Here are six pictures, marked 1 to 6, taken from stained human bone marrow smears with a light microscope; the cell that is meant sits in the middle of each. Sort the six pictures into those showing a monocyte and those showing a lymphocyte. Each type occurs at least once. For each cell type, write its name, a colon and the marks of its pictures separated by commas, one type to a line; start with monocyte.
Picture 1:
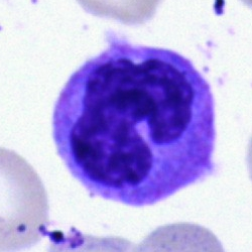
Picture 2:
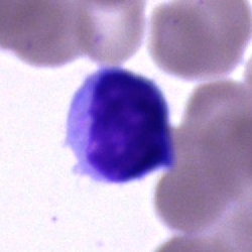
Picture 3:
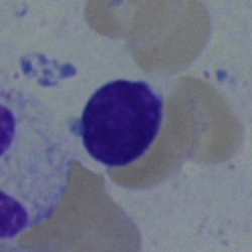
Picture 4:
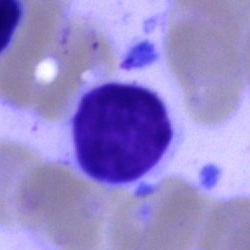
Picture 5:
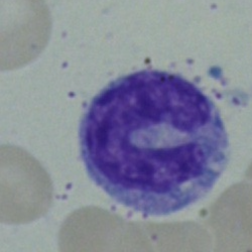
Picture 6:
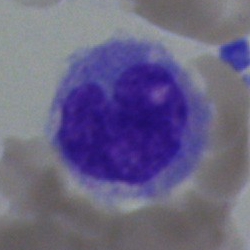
monocyte: 1, 5, 6
lymphocyte: 2, 3, 4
